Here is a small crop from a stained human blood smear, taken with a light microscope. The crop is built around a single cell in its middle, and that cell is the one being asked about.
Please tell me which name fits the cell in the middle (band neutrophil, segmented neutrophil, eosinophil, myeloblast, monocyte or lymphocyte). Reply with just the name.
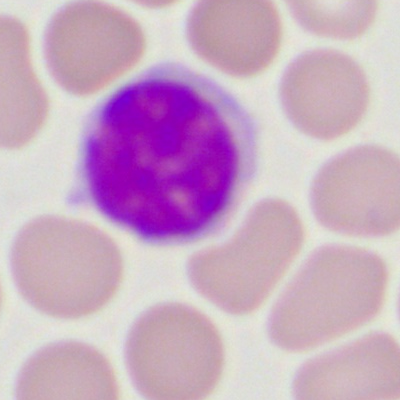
lymphocyte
